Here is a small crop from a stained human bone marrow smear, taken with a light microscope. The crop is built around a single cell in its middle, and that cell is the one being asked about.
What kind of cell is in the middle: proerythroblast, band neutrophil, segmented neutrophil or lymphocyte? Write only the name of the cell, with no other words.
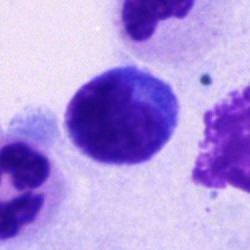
lymphocyte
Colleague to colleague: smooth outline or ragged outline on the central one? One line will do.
Smooth outline, no projections: that is the whole story of its edge.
